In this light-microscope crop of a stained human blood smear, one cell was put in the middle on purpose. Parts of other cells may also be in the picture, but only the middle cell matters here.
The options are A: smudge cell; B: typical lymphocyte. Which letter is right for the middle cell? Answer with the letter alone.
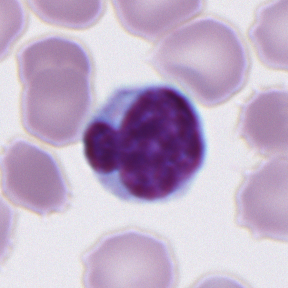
B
